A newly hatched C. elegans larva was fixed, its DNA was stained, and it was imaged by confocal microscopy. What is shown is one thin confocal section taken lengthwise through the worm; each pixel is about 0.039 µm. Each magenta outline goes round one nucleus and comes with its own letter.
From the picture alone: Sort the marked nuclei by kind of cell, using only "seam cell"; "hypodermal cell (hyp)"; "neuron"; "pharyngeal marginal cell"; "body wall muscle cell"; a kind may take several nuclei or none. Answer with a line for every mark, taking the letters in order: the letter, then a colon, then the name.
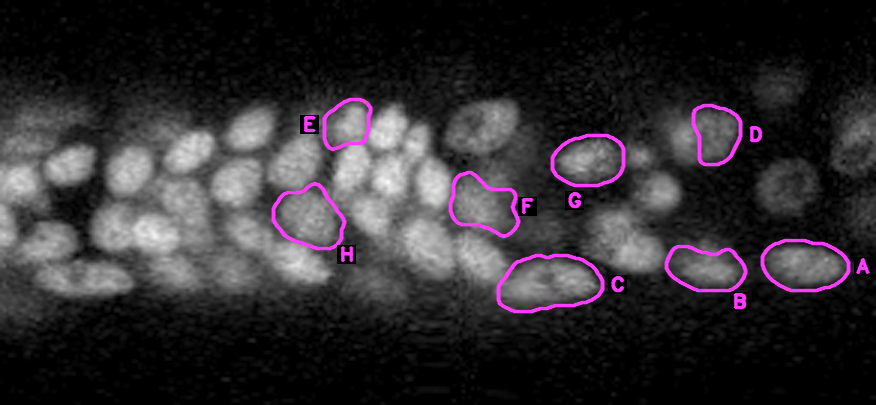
A: body wall muscle cell
B: body wall muscle cell
C: body wall muscle cell
D: hypodermal cell (hyp)
E: neuron
F: neuron
G: pharyngeal marginal cell
H: neuron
